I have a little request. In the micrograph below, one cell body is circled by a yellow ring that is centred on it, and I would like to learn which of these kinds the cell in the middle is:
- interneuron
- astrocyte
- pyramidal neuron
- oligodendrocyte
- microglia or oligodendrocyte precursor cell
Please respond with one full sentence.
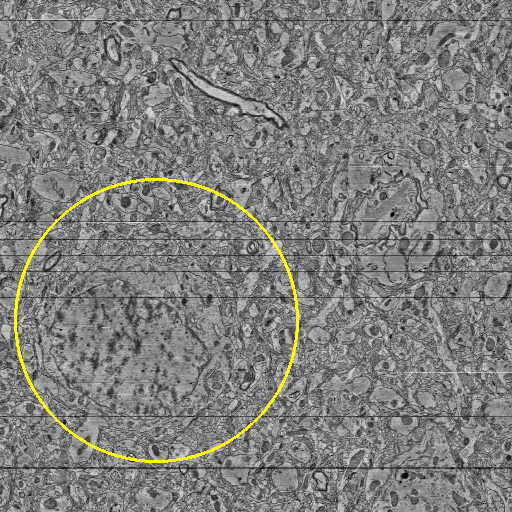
The cell sitting in the middle of the yellow ring in the micrograph is an interneuron.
